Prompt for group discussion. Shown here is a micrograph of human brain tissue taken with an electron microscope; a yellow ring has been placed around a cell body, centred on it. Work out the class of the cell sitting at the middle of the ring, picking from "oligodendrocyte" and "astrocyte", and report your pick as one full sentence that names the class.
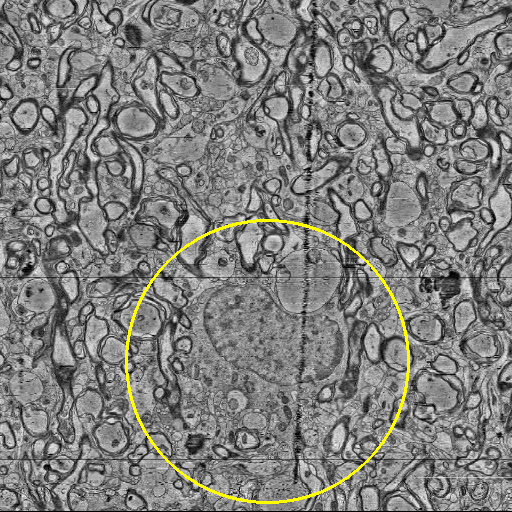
The cell sitting at the middle of the yellow ring is an oligodendrocyte.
